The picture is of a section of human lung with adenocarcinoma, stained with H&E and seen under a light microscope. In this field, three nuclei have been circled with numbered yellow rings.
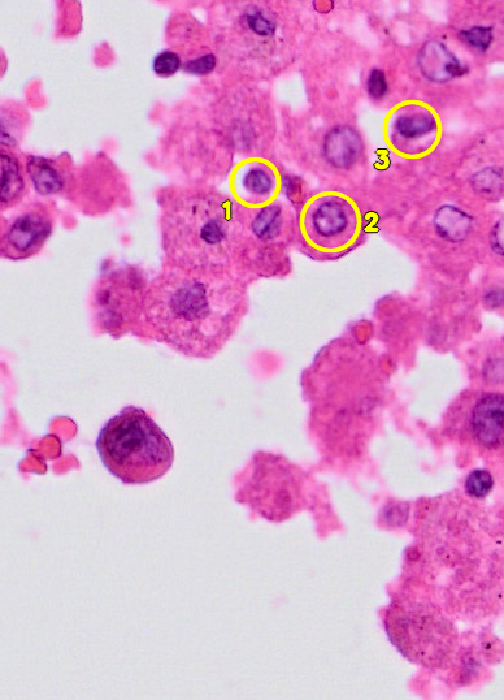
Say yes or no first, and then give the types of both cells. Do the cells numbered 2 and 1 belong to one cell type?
No, in contrast to cell 2, which is a macrophage or monocyte, cell 1 is a lymphocyte.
